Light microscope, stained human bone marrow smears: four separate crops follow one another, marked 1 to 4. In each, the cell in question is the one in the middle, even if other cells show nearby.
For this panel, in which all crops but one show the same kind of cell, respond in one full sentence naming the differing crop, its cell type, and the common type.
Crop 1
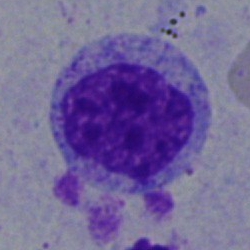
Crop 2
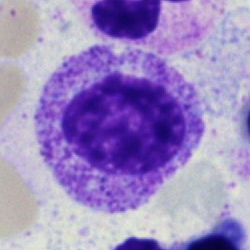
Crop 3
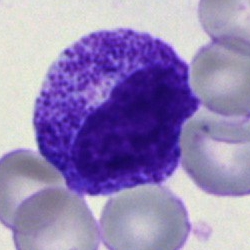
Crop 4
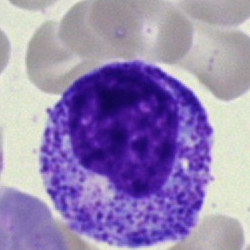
The crop that differs is 4, which is a promyelocyte; the rest are myelocytes.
